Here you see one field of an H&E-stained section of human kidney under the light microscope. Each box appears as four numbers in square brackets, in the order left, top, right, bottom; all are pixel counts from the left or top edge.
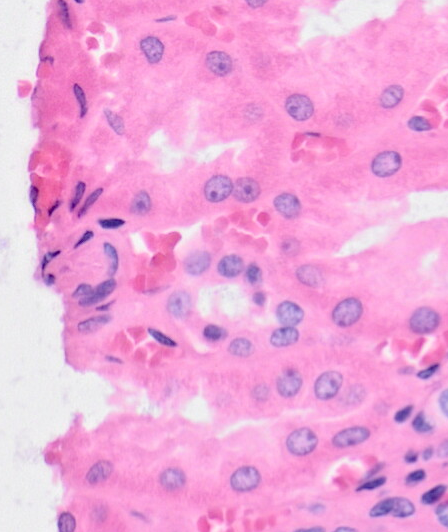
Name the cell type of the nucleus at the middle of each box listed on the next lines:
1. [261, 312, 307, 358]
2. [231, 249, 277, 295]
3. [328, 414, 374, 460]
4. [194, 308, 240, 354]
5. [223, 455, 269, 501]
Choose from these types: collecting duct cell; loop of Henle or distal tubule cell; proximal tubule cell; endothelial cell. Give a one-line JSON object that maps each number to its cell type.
{"1": "collecting duct cell", "2": "collecting duct cell", "3": "proximal tubule cell", "4": "collecting duct cell", "5": "proximal tubule cell"}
